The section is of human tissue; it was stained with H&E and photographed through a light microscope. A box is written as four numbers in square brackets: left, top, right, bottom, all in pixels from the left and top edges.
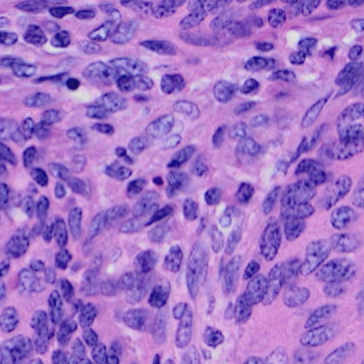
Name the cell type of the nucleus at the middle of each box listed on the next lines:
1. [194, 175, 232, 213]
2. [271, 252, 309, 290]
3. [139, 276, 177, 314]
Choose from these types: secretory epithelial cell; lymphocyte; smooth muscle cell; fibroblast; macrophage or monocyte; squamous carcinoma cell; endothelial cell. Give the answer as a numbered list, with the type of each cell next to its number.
1. lymphocyte
2. squamous carcinoma cell
3. lymphocyte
